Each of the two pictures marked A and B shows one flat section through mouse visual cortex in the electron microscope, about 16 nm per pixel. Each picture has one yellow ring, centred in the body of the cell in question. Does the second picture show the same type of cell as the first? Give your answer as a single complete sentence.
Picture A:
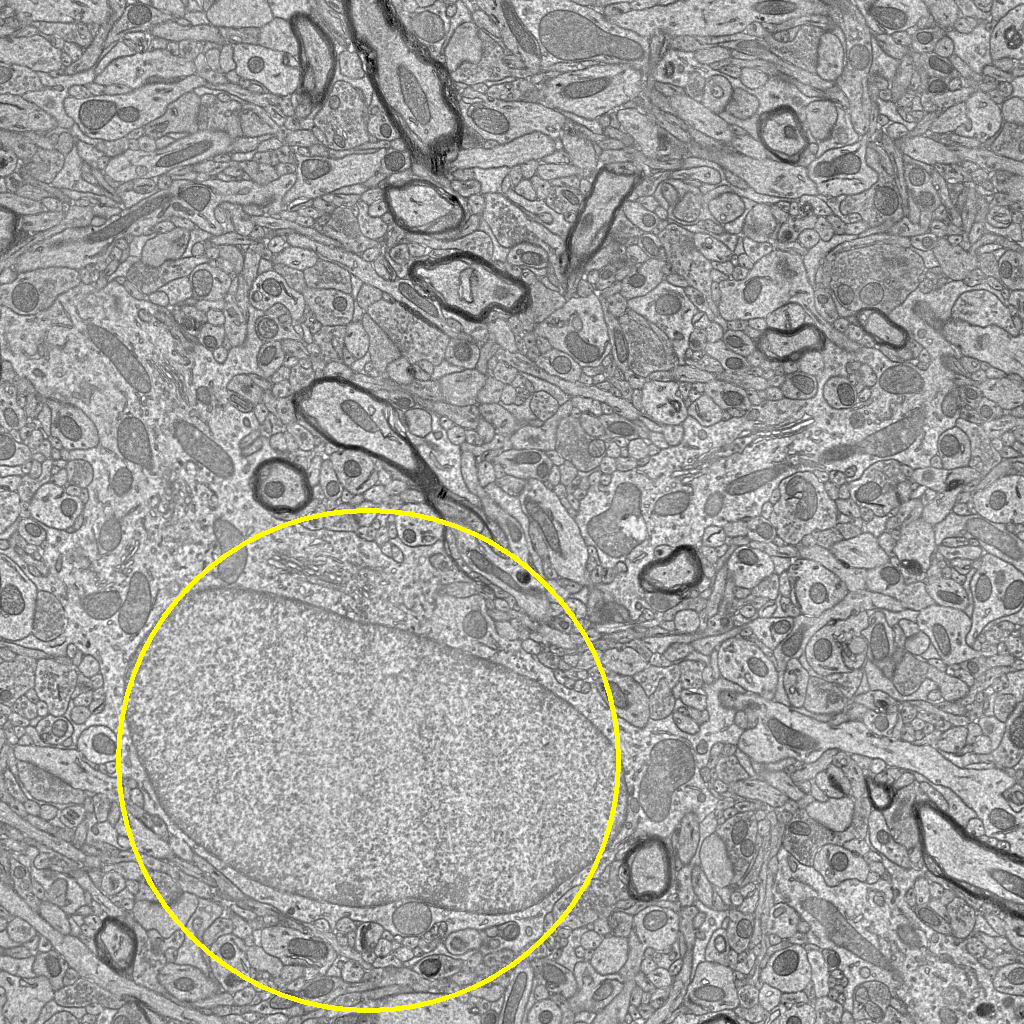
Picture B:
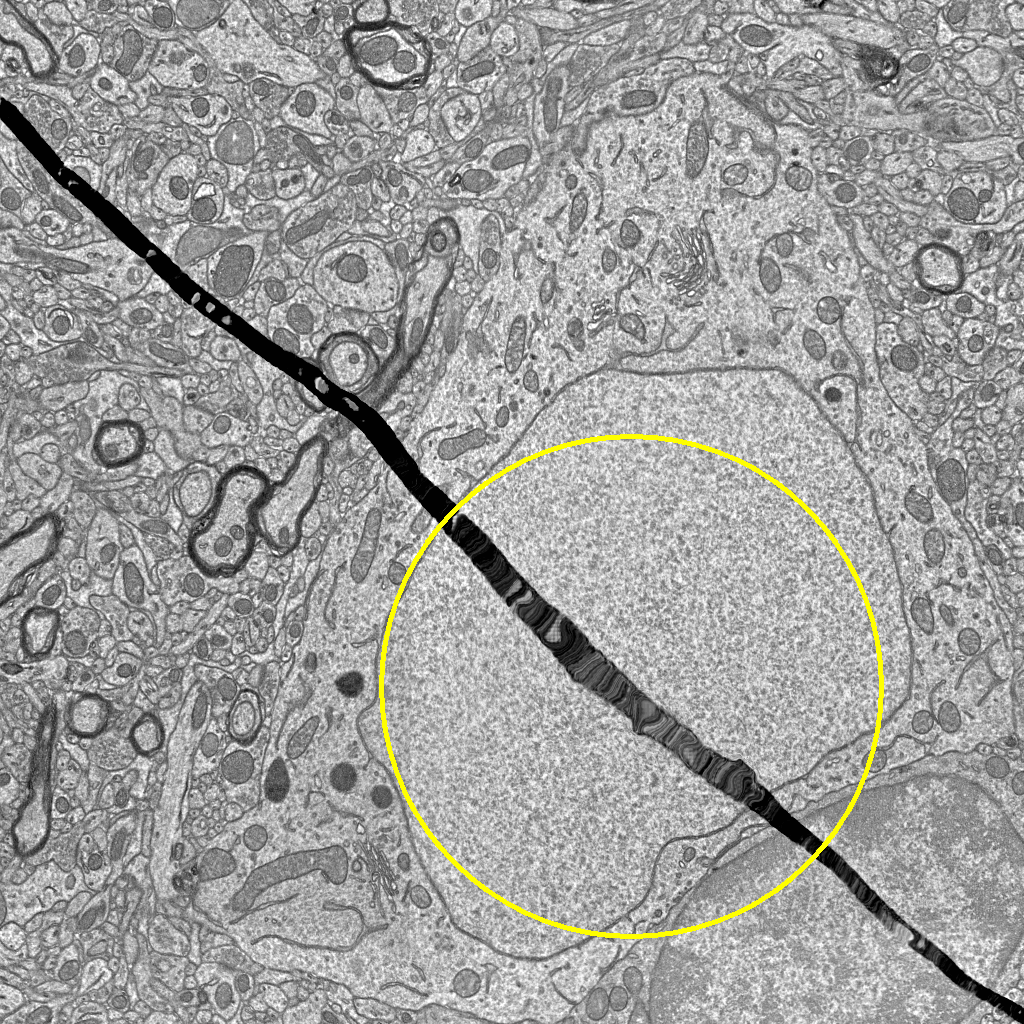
No, picture A shows an astrocyte and picture B shows an excitatory neuron.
